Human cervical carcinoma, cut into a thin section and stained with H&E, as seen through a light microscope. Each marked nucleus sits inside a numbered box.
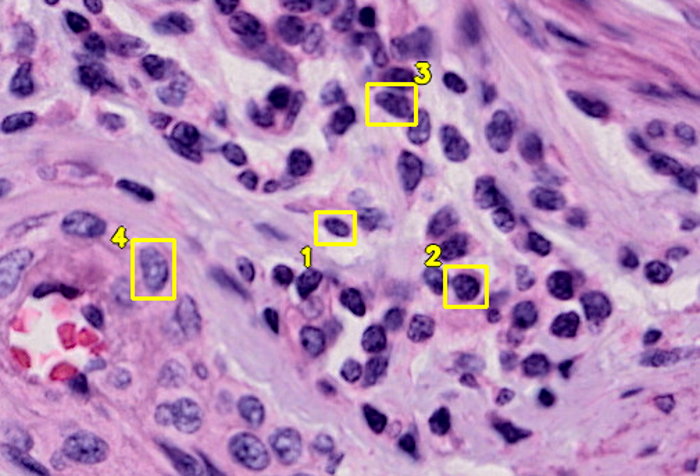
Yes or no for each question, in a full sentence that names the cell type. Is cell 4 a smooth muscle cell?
Yes, the cell with number 4 is a smooth muscle cell.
